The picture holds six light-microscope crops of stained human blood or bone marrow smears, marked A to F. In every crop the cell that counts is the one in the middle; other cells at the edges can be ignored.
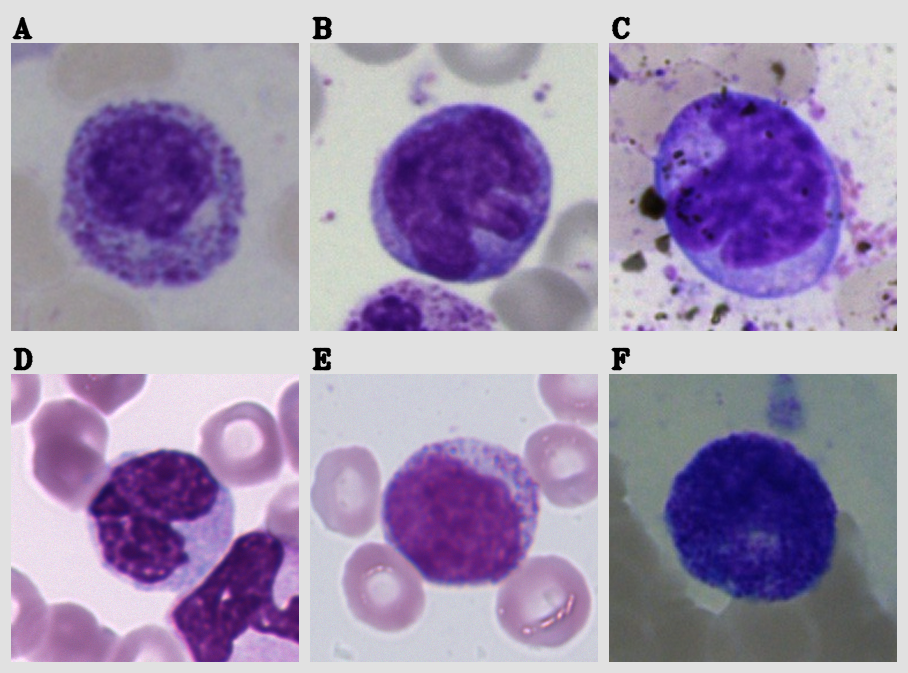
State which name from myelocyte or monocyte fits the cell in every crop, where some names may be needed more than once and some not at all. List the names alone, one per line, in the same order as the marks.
myelocyte
monocyte
monocyte
monocyte
myelocyte
myelocyte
